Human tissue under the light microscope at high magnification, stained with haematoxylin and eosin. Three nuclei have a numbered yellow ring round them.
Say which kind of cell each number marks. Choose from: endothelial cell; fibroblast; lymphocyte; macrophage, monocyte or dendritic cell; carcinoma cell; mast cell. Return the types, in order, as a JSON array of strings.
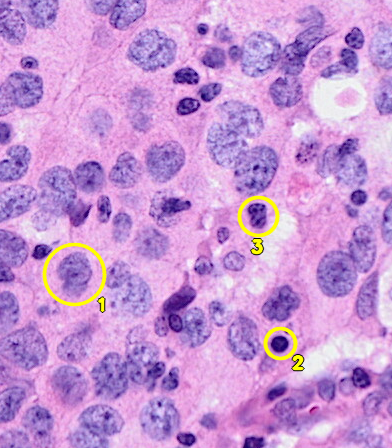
["carcinoma cell", "lymphocyte", "lymphocyte"]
